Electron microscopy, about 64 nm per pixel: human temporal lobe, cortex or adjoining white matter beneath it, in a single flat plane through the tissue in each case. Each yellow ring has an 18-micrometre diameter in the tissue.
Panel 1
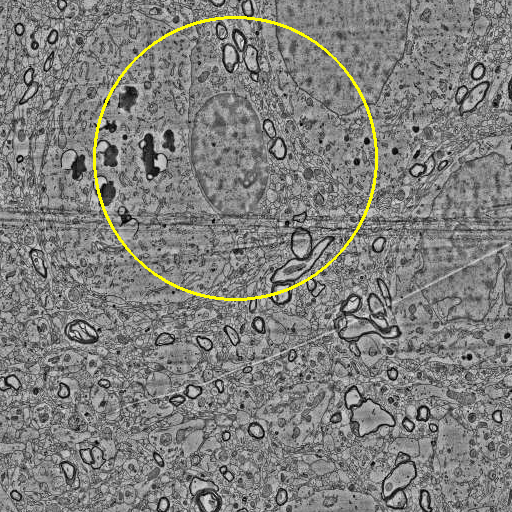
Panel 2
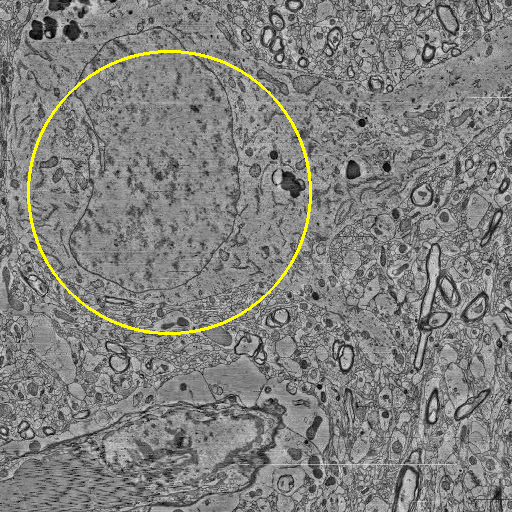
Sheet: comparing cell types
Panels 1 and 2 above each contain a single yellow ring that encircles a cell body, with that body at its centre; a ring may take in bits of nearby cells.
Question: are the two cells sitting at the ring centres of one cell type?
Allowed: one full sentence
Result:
No, the ring-centre cells in Panel 1 and Panel 2 are of two types.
